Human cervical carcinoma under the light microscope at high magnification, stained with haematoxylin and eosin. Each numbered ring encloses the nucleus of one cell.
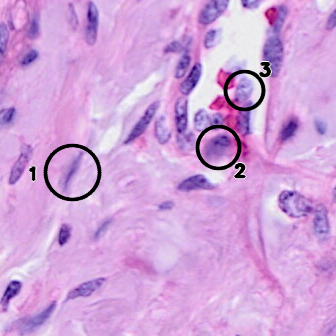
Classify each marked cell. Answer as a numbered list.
1. fibroblast
2. endothelial cell
3. endothelial cell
